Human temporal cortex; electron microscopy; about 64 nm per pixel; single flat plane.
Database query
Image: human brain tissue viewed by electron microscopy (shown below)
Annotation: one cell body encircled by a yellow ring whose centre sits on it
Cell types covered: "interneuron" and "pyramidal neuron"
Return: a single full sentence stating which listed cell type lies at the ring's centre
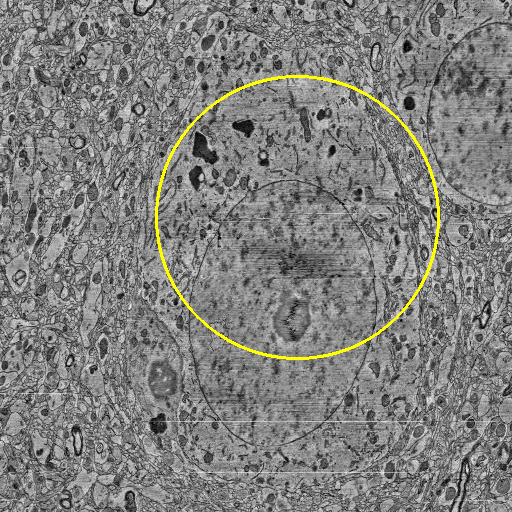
In the image, the cell lying at the ring's centre is a pyramidal neuron.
